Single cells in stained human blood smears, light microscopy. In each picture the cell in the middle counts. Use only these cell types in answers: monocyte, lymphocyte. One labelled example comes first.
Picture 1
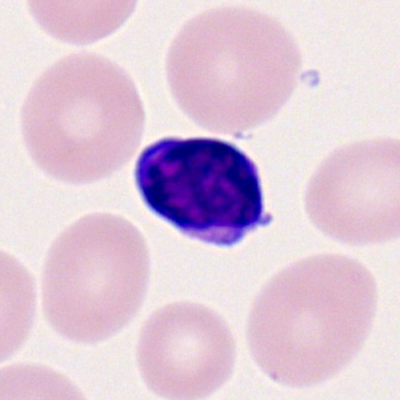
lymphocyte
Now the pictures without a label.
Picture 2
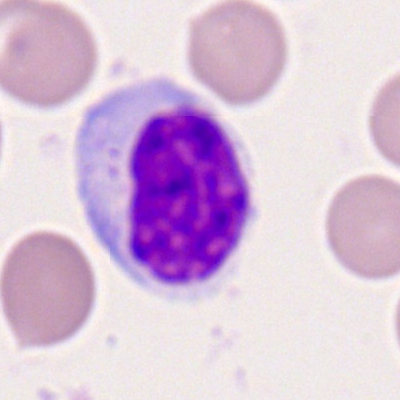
lymphocyte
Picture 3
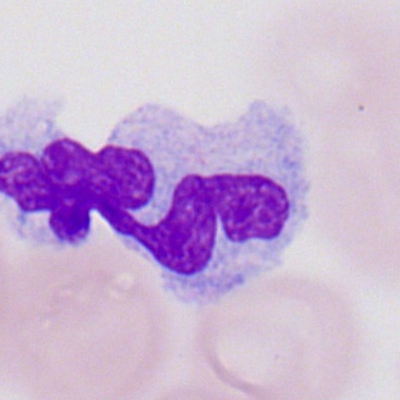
monocyte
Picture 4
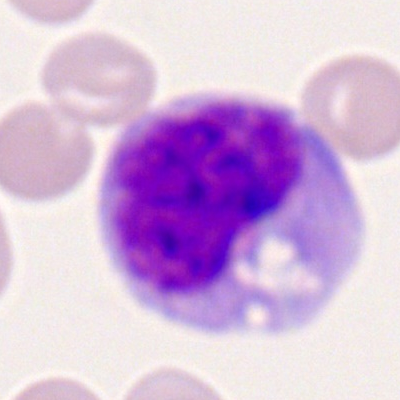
monocyte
